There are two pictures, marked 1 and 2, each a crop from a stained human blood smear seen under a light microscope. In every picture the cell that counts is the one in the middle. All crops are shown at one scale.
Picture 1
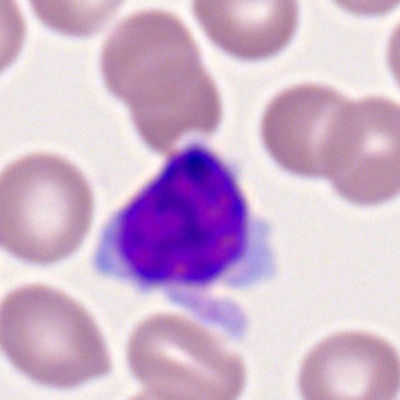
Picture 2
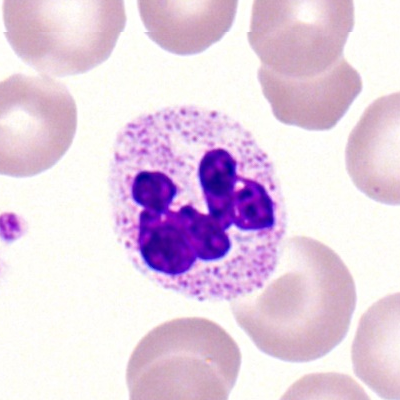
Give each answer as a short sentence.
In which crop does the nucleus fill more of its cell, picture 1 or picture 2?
Of the two, the nucleus in picture 1 makes up the greater part of its cell.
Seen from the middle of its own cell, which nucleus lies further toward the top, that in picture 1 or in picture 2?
The nucleus in picture 1 lies further toward the top of its cell.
